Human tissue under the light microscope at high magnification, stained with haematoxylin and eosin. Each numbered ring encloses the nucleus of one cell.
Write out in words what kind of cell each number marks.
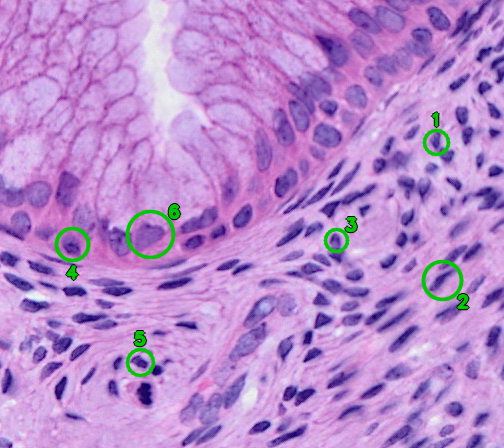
Cells 1, 2, 3 and 5 are fibroblasts. Cells 4 and 6 are secretory epithelial cells.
